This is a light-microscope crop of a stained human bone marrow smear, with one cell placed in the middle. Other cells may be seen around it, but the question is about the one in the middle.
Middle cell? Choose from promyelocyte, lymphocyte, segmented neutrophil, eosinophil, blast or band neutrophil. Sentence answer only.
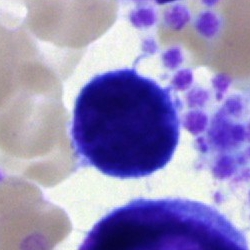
Centrally within this crop lies a lymphocyte.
